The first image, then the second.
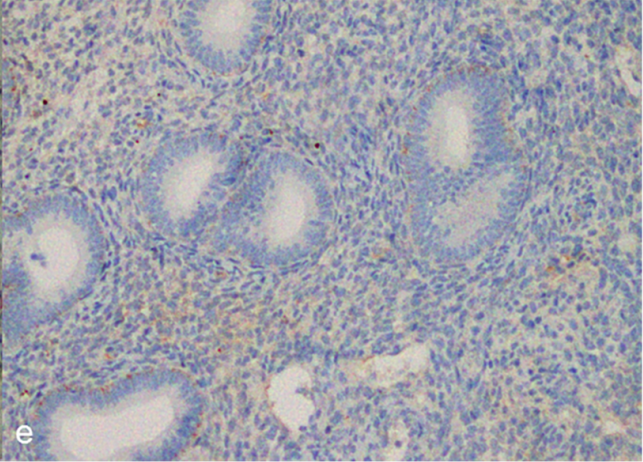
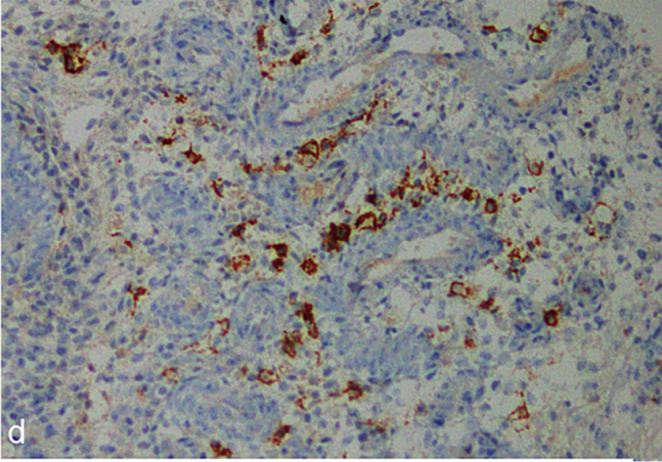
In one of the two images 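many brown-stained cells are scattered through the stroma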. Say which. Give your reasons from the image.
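First image: the stroma between glands shows almost no brown-stained cells, only blue nuclei. Second image: dozens of brown-rimmed cells lie scattered and clustered in the stroma.
The second image.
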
